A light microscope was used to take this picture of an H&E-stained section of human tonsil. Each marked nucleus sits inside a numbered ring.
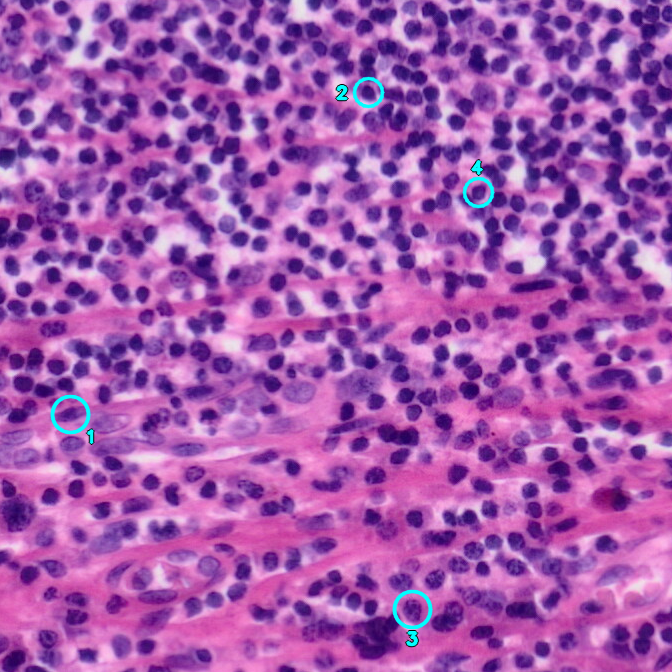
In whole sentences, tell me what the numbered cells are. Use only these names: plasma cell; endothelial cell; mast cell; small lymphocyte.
Cell 1 is an endothelial cell. Cells 2 and 4 are small lymphocytes. Cell 3 is a plasma cell.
